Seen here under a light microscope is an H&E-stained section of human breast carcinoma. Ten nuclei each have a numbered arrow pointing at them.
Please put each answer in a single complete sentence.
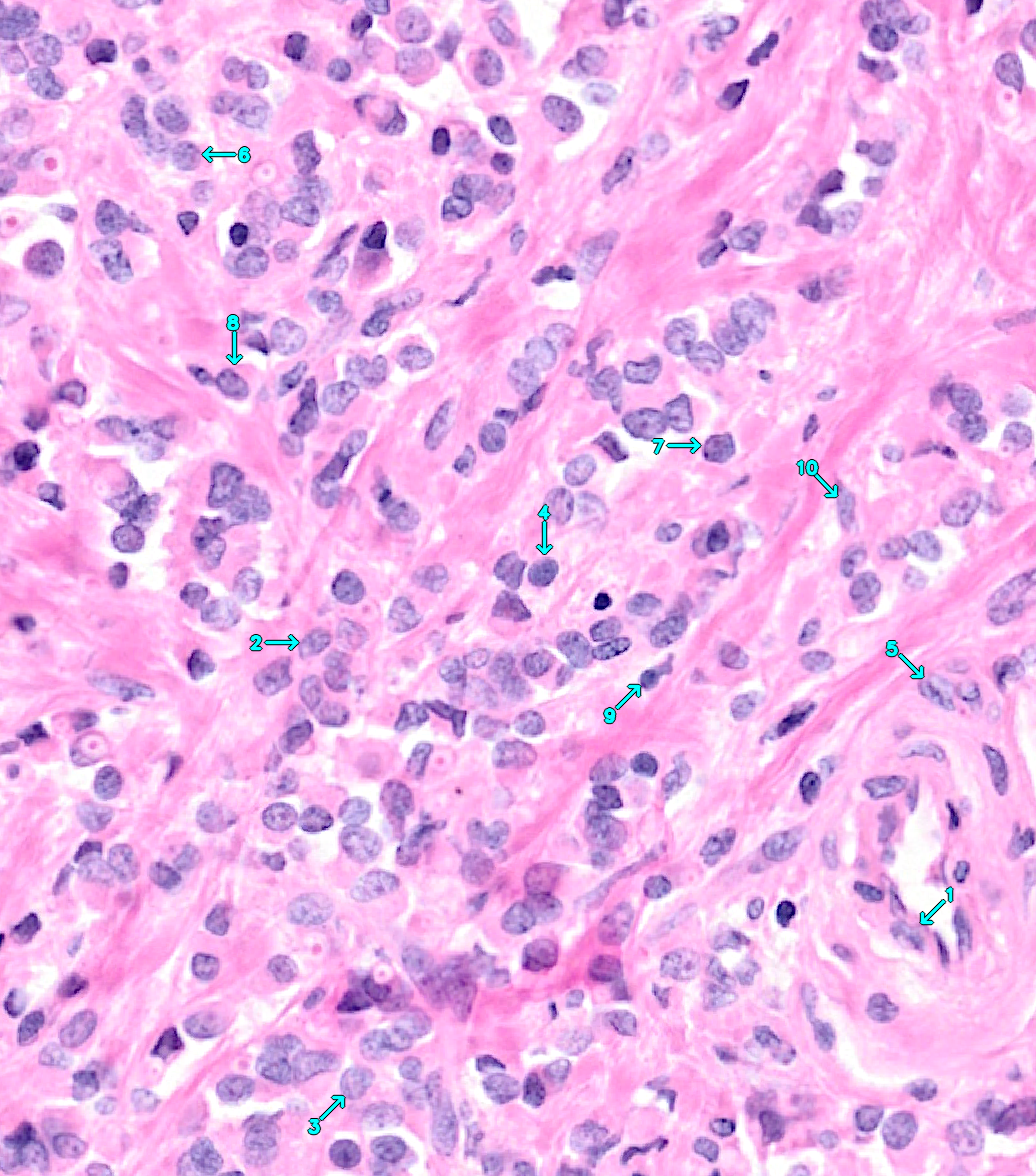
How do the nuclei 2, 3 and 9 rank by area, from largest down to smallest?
Going from the biggest nucleus down to the smallest gives 3, 2, 9.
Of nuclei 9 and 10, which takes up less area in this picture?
Nucleus 9 is the smaller one; nucleus 10 covers about 2 times its area.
